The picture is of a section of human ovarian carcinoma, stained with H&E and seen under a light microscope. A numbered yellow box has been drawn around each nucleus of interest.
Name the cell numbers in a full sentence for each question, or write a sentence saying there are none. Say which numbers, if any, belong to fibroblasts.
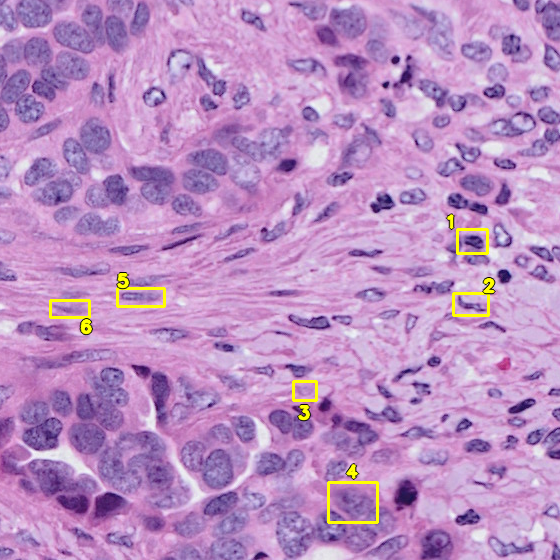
The identity of cells 2, 3, 5 and 6: they are fibroblasts.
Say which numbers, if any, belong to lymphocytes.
Of those with numbers, only cell 1 is a lymphocyte.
